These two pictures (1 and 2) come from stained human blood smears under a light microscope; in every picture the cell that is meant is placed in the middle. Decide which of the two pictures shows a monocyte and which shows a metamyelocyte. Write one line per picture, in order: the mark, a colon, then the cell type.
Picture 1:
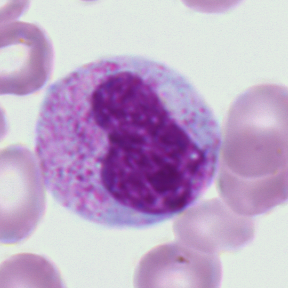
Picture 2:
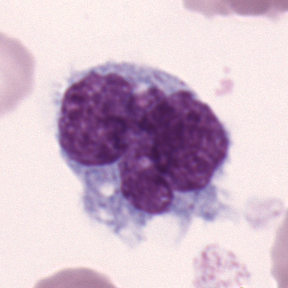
1: metamyelocyte
2: monocyte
